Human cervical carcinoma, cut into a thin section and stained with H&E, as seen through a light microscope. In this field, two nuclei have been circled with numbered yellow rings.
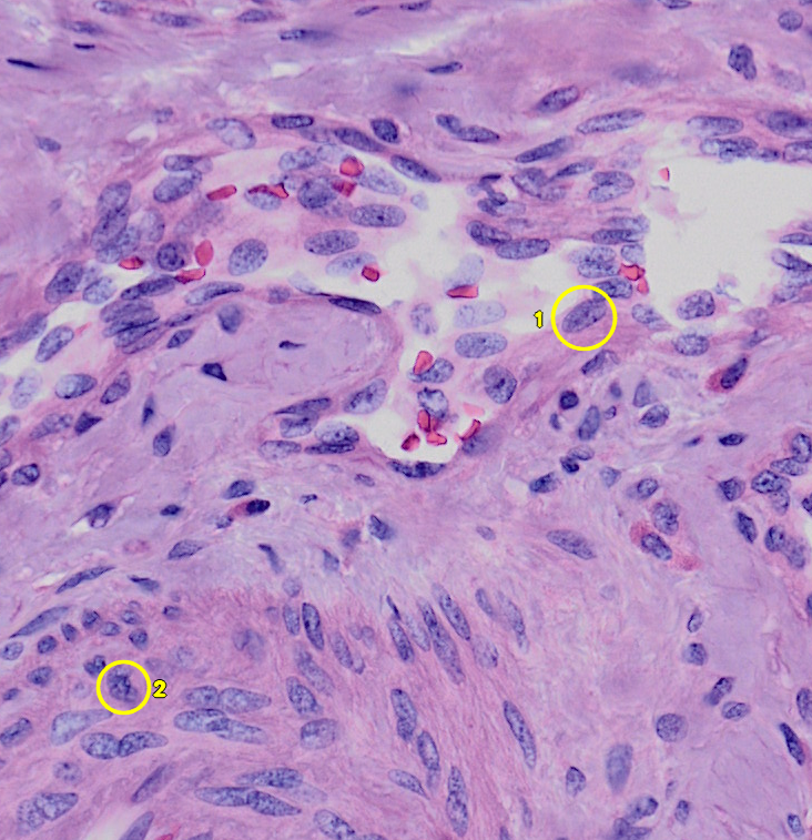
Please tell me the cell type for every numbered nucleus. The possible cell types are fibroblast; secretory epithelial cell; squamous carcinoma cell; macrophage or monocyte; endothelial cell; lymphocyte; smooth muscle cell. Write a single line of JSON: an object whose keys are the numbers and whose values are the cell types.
{"1": "endothelial cell", "2": "smooth muscle cell"}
